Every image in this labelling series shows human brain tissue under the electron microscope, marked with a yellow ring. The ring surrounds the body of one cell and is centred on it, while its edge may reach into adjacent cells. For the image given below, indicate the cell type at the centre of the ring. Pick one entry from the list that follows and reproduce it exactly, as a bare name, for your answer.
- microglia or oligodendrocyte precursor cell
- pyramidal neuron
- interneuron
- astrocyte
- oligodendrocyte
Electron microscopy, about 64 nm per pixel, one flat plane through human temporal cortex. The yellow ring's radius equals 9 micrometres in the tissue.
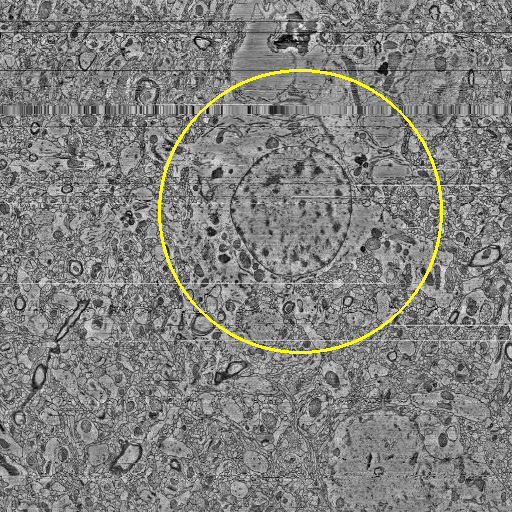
astrocyte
